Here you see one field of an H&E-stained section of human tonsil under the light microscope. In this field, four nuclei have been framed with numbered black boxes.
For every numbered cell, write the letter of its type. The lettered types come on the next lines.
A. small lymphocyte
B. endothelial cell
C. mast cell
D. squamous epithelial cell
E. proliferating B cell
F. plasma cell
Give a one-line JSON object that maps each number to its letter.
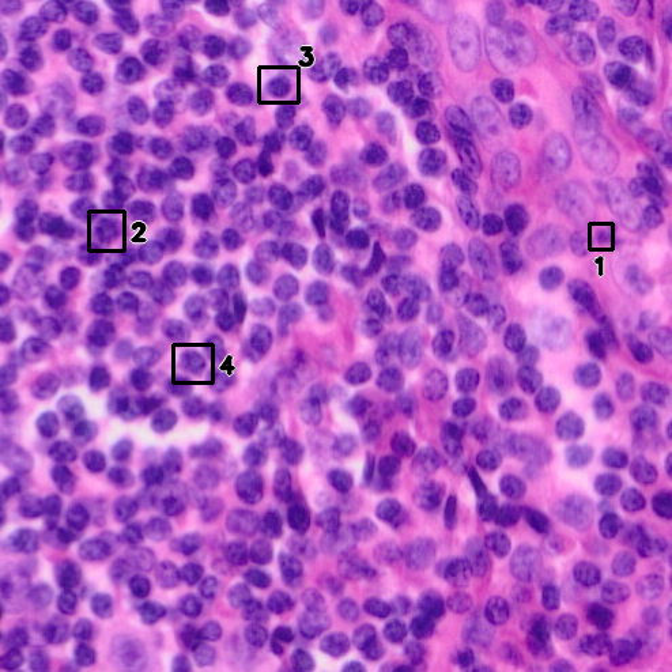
{"1": "B", "2": "A", "3": "A", "4": "A"}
